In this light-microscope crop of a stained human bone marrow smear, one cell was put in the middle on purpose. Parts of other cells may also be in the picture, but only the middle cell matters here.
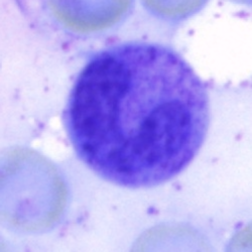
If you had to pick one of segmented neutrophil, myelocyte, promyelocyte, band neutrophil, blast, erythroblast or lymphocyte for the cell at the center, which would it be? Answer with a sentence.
The crop centres on a single cell, and that cell is a band neutrophil.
